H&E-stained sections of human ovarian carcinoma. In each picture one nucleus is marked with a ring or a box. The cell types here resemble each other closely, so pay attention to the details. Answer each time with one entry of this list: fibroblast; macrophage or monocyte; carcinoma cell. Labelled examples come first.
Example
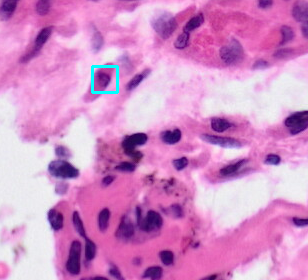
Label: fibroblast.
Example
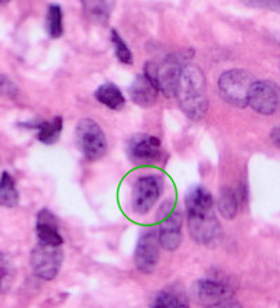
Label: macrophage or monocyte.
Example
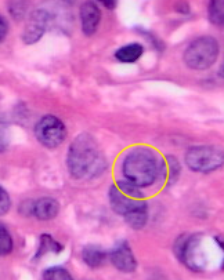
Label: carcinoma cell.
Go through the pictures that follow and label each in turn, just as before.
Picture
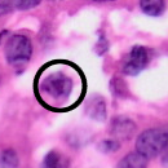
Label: carcinoma cell.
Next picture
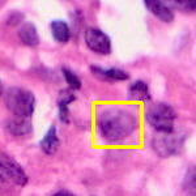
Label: carcinoma cell.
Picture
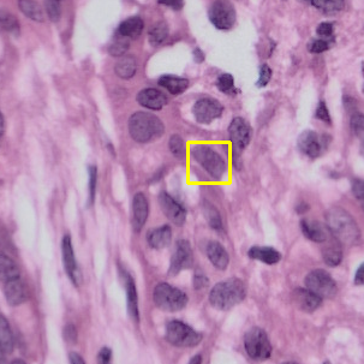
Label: carcinoma cell.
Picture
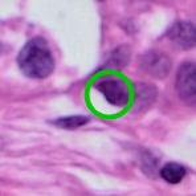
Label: carcinoma cell.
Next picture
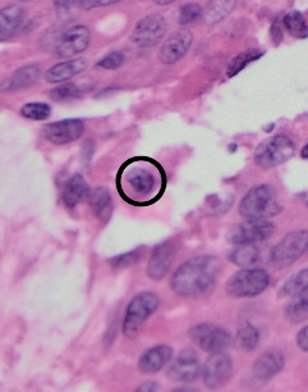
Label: macrophage or monocyte.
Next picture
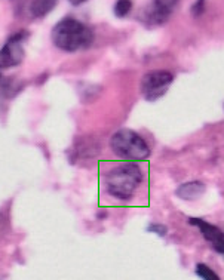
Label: macrophage or monocyte.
